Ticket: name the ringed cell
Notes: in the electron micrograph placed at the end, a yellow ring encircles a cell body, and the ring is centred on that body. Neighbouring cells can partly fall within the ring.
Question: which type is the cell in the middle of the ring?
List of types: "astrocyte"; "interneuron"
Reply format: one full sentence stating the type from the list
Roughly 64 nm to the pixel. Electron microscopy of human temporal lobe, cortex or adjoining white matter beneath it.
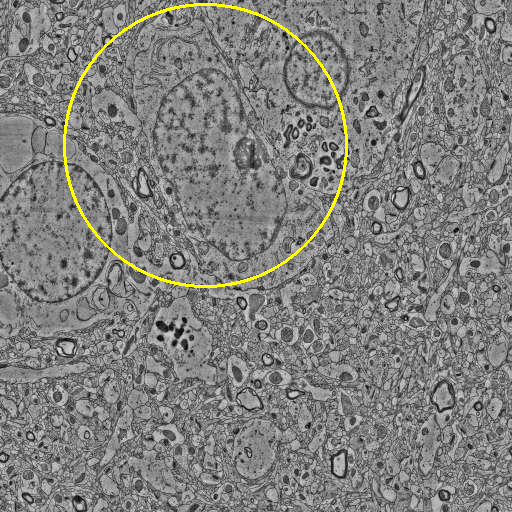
The cell sitting at the centre of the yellow ring is an interneuron.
